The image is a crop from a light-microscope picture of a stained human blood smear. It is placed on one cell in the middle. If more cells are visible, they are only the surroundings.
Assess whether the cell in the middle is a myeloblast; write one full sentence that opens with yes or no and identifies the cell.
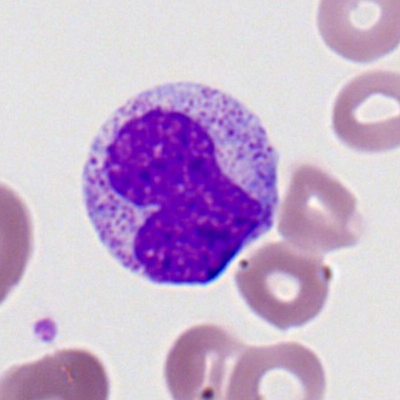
No, the cell in the middle is a monocyte; it is not a myeloblast.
